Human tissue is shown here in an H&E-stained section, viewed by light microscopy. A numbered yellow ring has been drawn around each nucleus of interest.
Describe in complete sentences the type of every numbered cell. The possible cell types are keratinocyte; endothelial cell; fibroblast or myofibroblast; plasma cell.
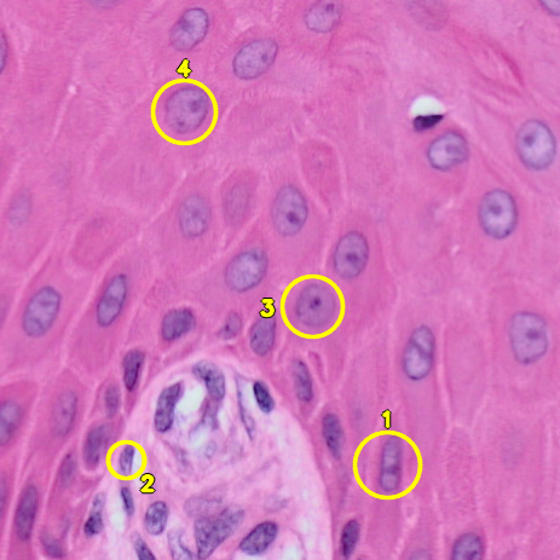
Cell 1 is a keratinocyte, cell 2 is a fibroblast or myofibroblast, cell 3 is a keratinocyte and cell 4 is a keratinocyte.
